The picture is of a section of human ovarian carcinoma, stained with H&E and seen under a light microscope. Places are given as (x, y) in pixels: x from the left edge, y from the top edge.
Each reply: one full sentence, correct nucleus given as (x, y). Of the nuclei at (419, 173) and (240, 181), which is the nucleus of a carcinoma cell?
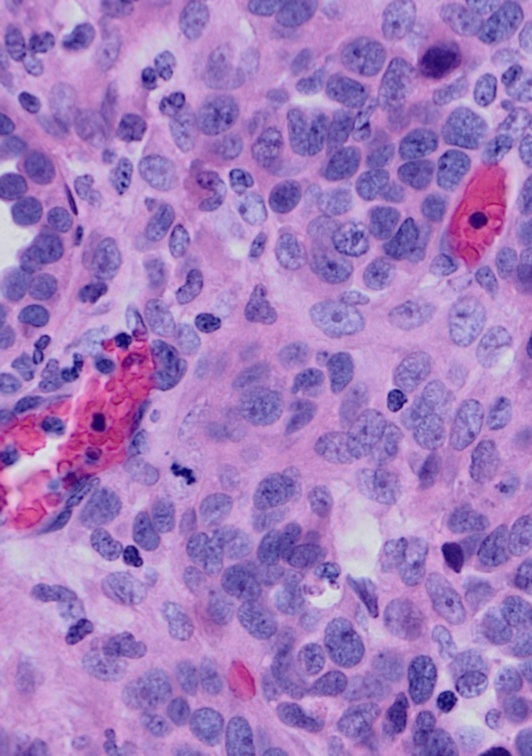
Identify the nucleus at (419, 173) as the one belonging to a carcinoma cell.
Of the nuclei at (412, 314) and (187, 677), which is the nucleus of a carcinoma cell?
Housed in a carcinoma cell is the nucleus at (187, 677), not the other one.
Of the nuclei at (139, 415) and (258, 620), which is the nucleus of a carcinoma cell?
Assigned to a carcinoma cell is the nucleus located at (258, 620).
